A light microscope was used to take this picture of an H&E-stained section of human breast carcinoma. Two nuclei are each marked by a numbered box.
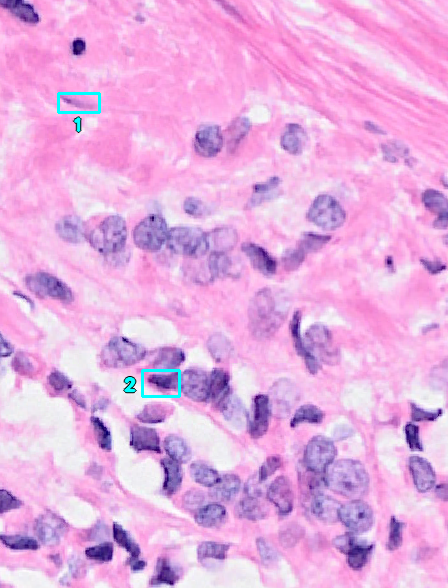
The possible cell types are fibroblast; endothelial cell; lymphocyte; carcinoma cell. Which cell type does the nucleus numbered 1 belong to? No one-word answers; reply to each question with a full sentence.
Corresponding to a fibroblast is the cell labelled 1.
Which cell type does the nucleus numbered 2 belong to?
The cell referenced by the number 2 is a carcinoma cell in this field.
